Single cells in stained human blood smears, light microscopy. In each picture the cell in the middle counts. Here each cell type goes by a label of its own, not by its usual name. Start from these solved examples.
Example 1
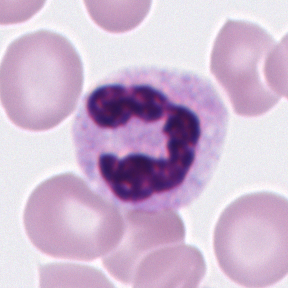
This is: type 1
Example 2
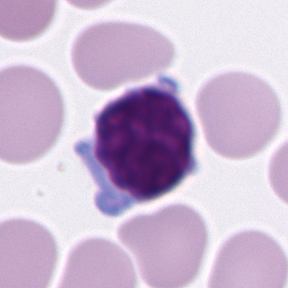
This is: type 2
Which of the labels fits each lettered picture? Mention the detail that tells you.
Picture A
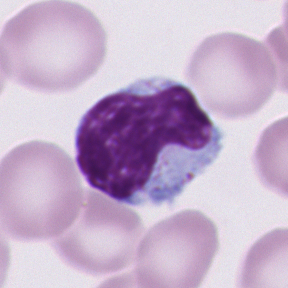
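Answer: type 2. The nucleus is notched on its lower right side, giving it a bean shape.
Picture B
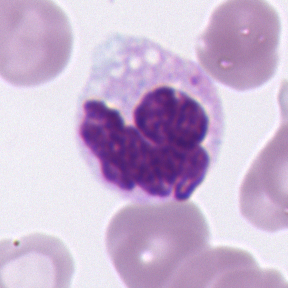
Answer: type 1. The cytoplasm is abundant and pale greyish-blue.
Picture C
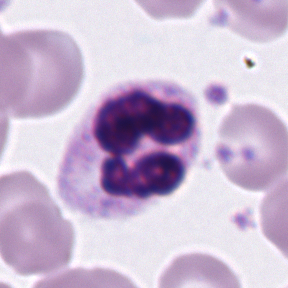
Answer: type 1. The cytoplasm is pale pinkish-lilac rather than blue.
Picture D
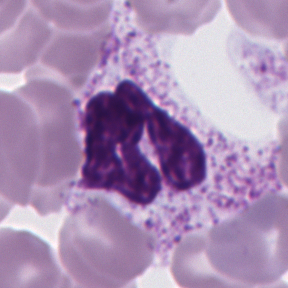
Answer: type 1. The cytoplasm is abundant and pale lilac-pink.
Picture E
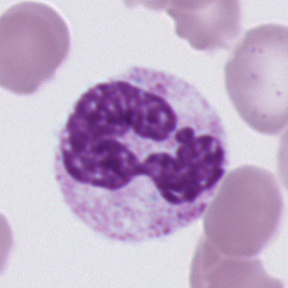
Answer: type 1. The cytoplasm is pale pink.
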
